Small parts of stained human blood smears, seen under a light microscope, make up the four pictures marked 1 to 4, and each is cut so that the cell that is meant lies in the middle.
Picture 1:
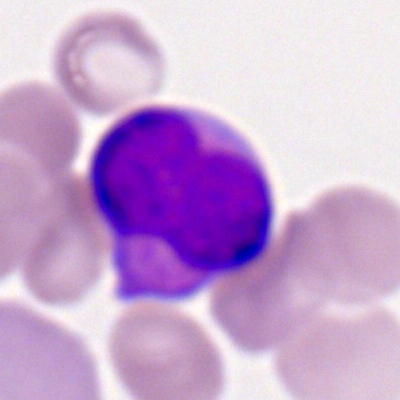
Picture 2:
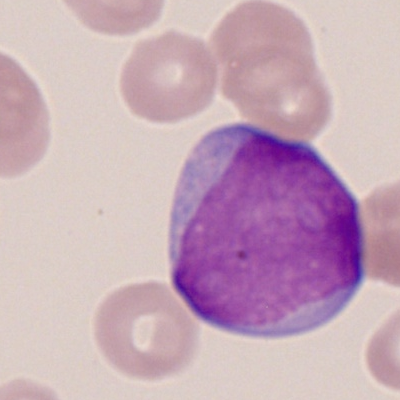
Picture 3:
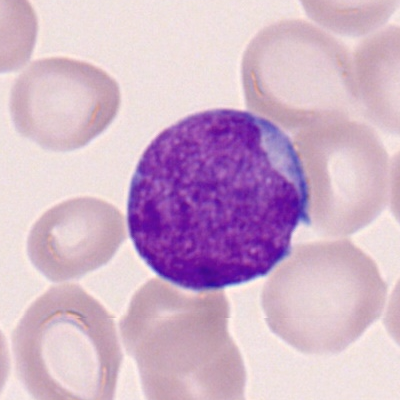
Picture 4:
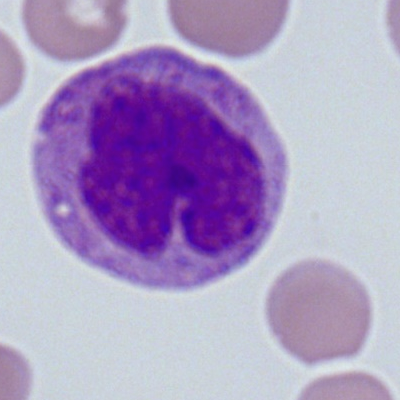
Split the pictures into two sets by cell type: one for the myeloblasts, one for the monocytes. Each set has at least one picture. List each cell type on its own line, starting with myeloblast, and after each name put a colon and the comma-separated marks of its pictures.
myeloblast: 1, 2, 3
monocyte: 4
